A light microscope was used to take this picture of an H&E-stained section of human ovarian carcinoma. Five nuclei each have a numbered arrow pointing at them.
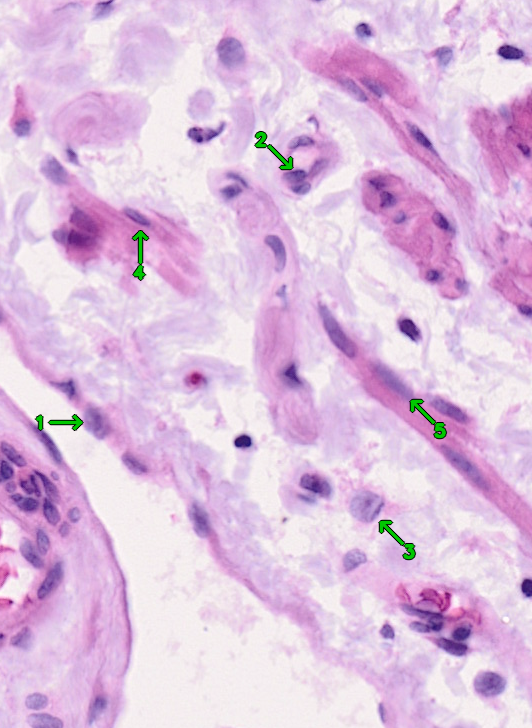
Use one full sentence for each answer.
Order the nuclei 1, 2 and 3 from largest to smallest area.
By area, largest first, they run 3, 1, 2.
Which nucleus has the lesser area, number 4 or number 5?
With nucleus 5 about 4 times its size, nucleus 4 is the smaller of the two.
